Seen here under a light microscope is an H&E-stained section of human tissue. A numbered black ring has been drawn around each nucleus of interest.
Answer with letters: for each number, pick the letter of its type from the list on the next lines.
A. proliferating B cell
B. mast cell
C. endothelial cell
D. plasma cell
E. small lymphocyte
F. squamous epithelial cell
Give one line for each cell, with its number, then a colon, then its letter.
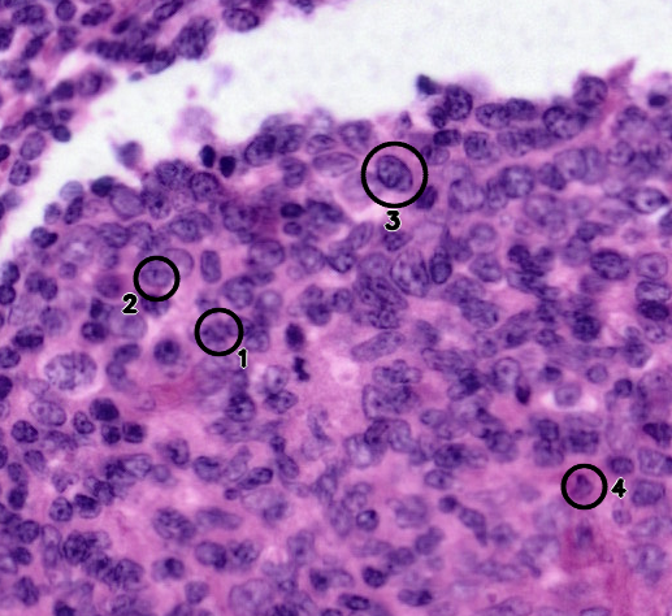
1: A
2: A
3: A
4: C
